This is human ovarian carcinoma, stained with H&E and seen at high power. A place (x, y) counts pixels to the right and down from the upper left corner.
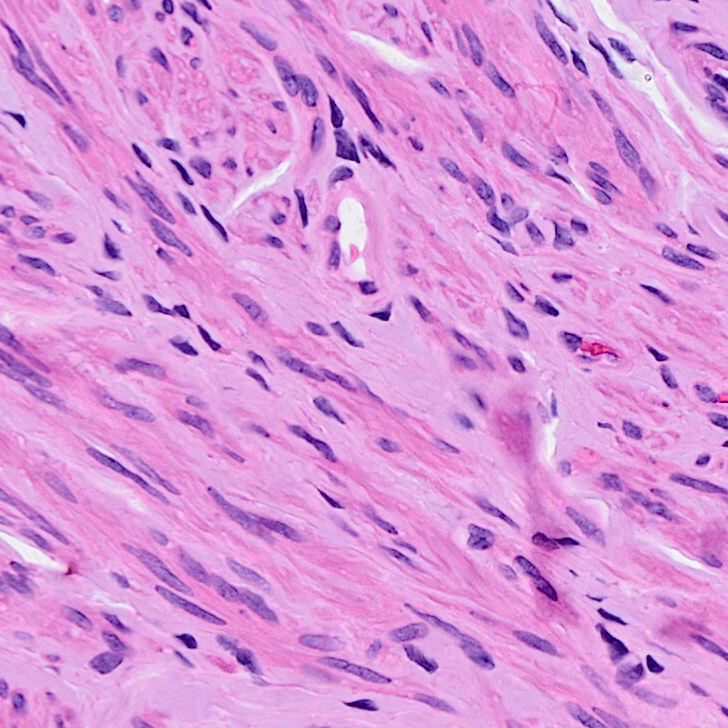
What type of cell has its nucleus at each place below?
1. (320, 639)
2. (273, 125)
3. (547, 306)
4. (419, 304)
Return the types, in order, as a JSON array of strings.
["smooth muscle cell", "smooth muscle cell", "fibroblast", "smooth muscle cell"]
